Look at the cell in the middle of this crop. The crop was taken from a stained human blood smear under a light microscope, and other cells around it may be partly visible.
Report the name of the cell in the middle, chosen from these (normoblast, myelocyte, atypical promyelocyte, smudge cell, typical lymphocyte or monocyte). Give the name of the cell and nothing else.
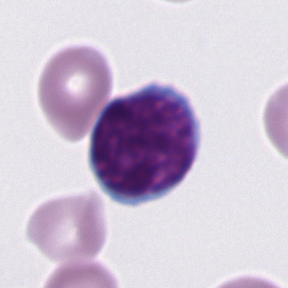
typical lymphocyte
